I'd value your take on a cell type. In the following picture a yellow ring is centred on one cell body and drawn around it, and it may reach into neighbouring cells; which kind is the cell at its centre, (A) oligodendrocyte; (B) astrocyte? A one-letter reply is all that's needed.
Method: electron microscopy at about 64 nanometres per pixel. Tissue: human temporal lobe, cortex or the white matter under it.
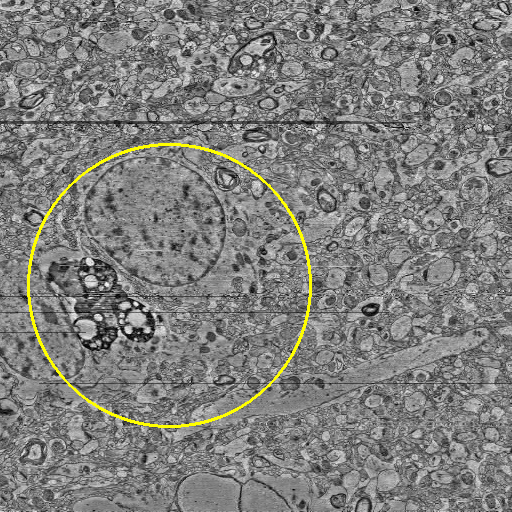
B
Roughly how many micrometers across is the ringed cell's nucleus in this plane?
Roughly 9 by 8 micrometres is the size of the nucleus in this plane.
